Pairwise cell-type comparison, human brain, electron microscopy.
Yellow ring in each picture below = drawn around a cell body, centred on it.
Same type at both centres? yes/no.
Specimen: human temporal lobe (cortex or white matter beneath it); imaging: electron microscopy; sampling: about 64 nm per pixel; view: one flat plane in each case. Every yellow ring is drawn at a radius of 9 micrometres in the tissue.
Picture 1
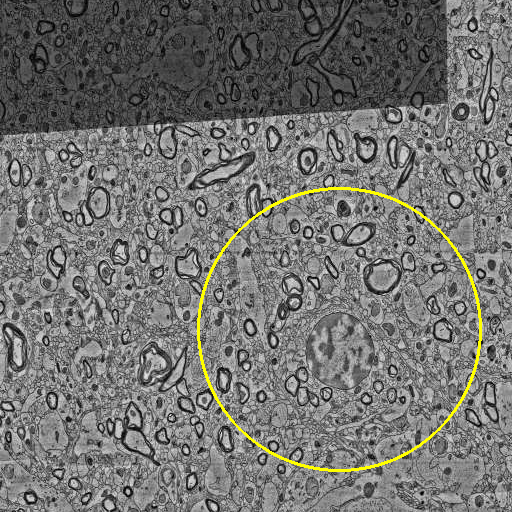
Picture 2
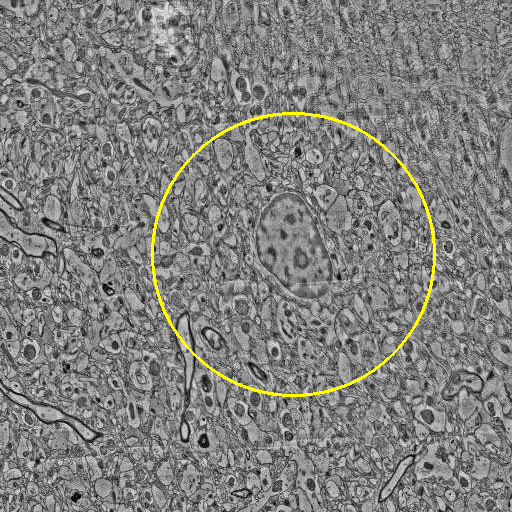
yes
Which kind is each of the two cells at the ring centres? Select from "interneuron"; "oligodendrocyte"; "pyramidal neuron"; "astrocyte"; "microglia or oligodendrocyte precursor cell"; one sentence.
The cell in the first picture is a microglial cell or oligodendrocyte precursor cell, and so is the one in the second.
